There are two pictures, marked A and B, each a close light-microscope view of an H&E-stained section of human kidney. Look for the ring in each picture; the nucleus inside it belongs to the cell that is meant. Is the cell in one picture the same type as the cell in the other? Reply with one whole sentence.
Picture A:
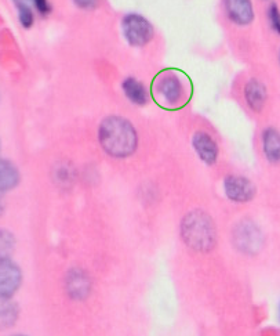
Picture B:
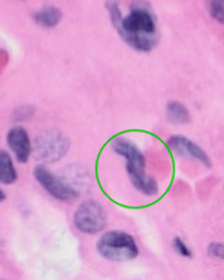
No, the types are not the same, since picture A shows a “loop of Henle or distal tubule cell” and picture B an endothelial cell.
